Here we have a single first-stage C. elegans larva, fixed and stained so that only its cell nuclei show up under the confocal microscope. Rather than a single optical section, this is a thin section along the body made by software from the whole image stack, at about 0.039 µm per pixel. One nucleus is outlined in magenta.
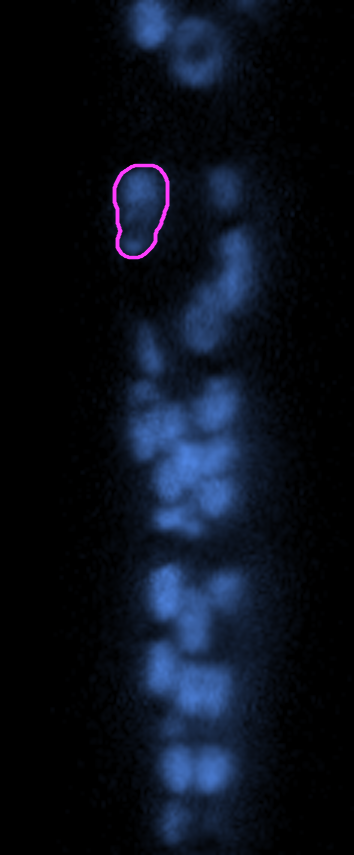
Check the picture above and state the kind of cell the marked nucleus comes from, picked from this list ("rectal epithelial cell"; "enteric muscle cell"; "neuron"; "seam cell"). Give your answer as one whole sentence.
It is the nucleus of a seam cell.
